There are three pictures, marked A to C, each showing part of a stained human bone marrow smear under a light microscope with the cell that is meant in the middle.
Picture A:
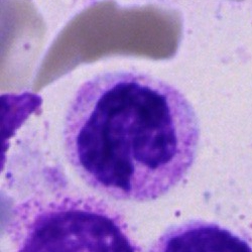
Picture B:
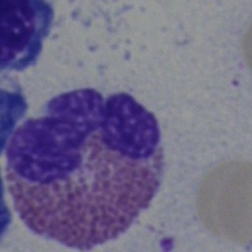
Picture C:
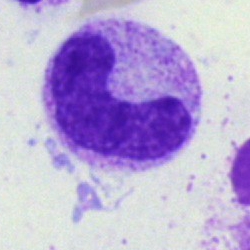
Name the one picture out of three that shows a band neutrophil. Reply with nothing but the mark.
C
